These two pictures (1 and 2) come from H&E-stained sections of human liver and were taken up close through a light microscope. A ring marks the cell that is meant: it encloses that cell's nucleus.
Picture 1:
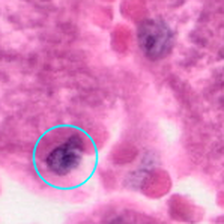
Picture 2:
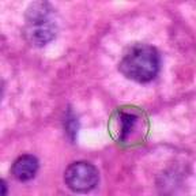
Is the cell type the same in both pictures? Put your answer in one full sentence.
Yes; the cells in both pictures are “fibroblasts or stellate cells”.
